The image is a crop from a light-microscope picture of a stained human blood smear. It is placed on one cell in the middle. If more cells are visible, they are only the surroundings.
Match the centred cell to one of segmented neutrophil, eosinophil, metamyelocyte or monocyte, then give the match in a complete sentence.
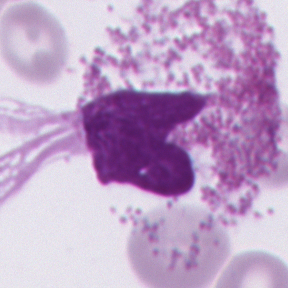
The cell the crop is centered on is an eosinophil.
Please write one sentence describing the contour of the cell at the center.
The cell margin is rough and uneven, either ragged or drawn into projections.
